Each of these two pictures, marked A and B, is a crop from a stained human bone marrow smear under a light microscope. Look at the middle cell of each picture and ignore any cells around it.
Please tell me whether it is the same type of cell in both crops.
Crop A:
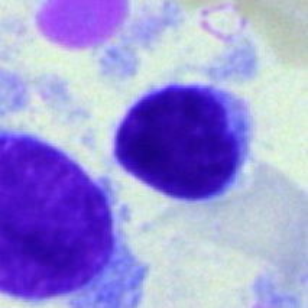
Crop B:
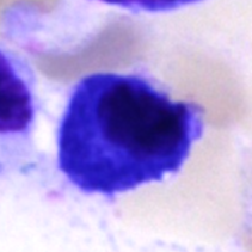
no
